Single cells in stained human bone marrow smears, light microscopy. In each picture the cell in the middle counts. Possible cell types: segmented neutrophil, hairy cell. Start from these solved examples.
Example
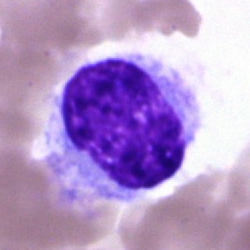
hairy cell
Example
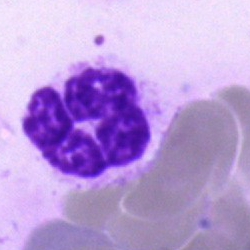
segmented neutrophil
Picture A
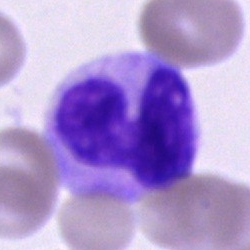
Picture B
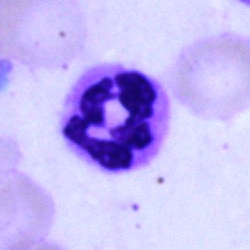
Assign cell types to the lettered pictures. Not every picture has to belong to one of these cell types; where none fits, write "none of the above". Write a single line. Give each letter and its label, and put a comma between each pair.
A none of the above, B segmented neutrophil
